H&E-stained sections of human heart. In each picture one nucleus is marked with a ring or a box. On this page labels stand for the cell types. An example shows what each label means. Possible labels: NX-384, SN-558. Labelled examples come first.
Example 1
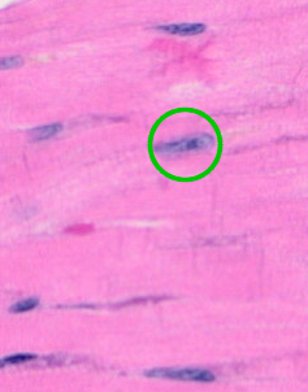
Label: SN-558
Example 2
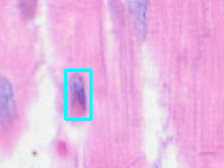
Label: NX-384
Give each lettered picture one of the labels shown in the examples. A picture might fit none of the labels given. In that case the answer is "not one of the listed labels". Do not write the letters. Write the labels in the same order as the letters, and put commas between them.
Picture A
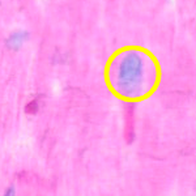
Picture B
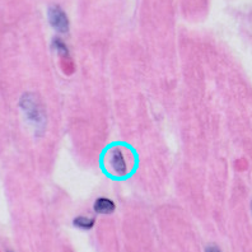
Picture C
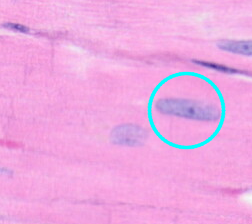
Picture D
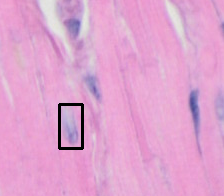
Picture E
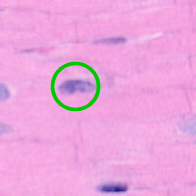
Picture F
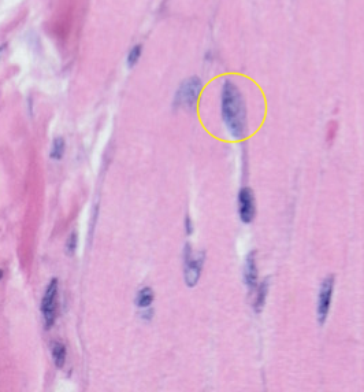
SN-558, not one of the listed labels, SN-558, SN-558, NX-384, not one of the listed labels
